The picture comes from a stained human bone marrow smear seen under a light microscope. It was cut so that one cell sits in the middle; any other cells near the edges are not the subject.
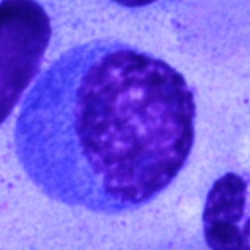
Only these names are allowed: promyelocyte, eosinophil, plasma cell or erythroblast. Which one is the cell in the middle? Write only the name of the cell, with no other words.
plasma cell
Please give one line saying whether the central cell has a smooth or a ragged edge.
In short, the margin is smooth with no projections at all.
